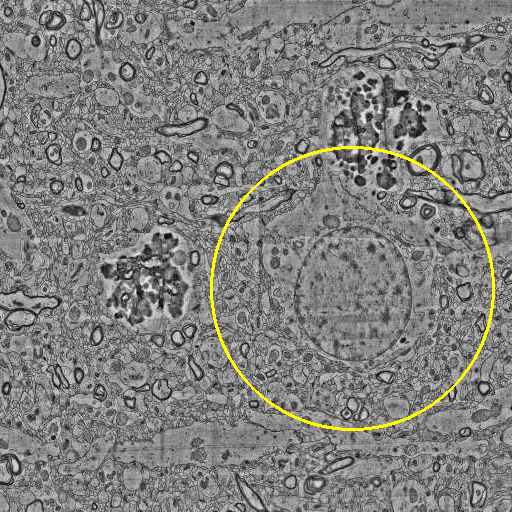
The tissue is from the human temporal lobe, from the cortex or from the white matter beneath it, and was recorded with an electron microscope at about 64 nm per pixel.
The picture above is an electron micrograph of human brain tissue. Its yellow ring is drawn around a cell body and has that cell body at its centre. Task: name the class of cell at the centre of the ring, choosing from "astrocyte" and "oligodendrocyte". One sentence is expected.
The ring surrounds the body of an astrocyte.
